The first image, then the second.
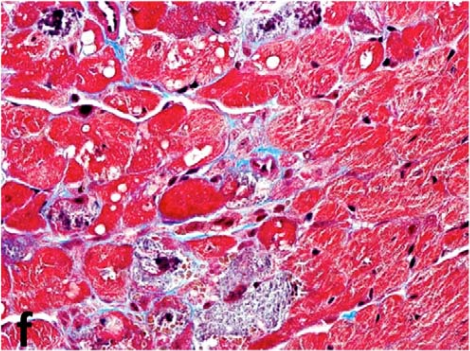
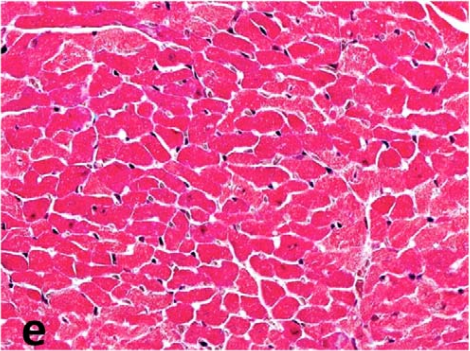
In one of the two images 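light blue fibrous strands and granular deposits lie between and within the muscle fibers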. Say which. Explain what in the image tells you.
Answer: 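First image: light blue strands run between red fibers around a cluster of fibers filled with purple granular material. Second image: uniform red fibers with dark nuclei and no blue strands or granular deposits.
Hence: the first image.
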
